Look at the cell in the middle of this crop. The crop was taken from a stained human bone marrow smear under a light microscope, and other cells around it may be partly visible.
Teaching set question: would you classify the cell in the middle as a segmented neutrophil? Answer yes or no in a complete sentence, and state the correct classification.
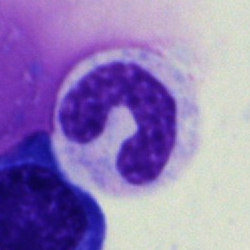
No, what sits in the centre of the crop is a band neutrophil rather than a segmented neutrophil.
